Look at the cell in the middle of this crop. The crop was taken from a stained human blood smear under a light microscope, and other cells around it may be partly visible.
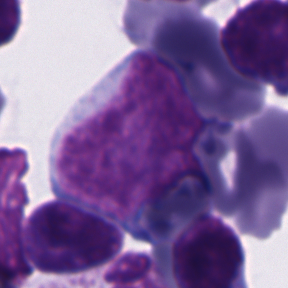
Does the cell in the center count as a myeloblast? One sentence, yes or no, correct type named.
Yes, the cell that the crop is centred on is a myeloblast.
